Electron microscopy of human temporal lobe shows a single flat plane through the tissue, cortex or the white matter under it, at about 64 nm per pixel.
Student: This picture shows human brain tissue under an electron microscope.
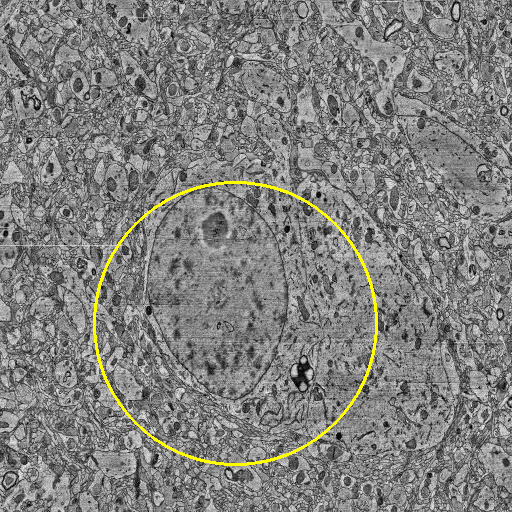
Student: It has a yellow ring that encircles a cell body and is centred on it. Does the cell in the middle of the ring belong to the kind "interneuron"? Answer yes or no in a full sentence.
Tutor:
No, the cell in the middle of the ring in this picture is of another kind.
